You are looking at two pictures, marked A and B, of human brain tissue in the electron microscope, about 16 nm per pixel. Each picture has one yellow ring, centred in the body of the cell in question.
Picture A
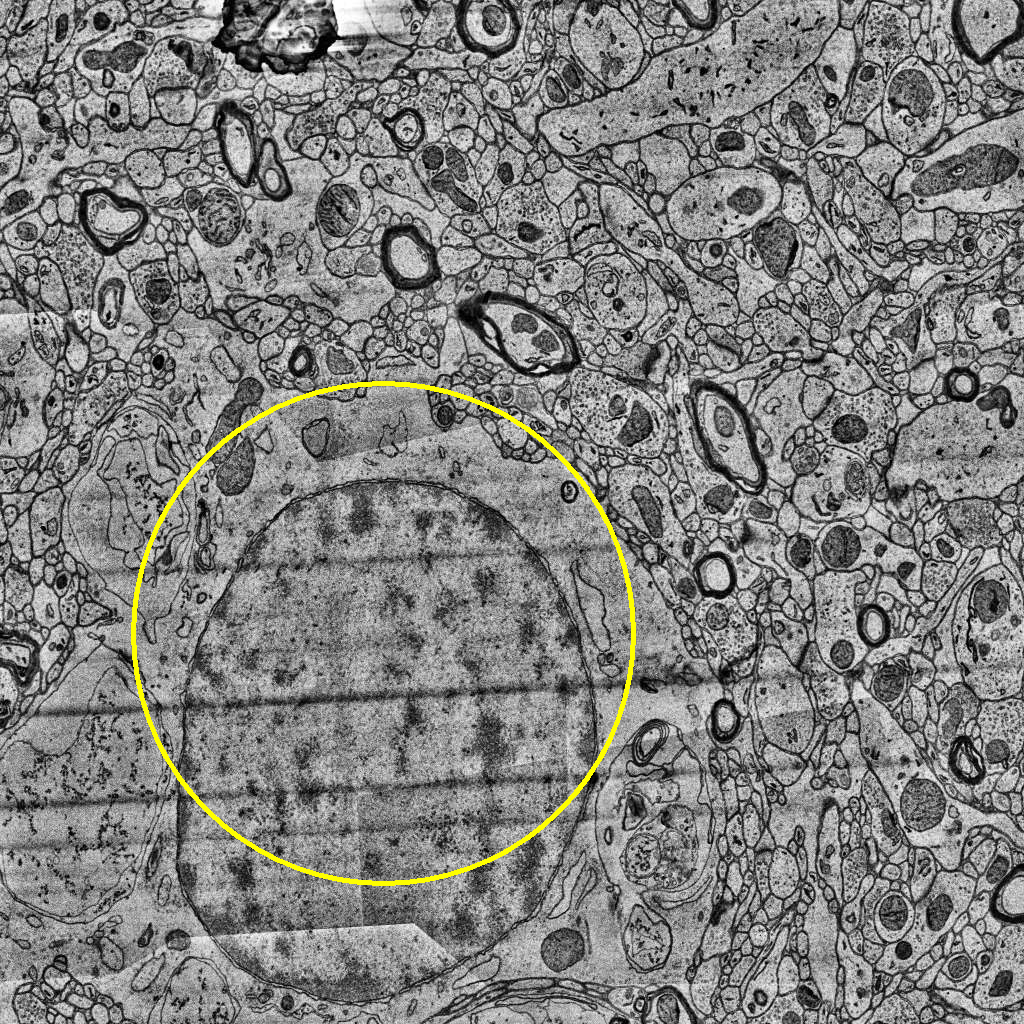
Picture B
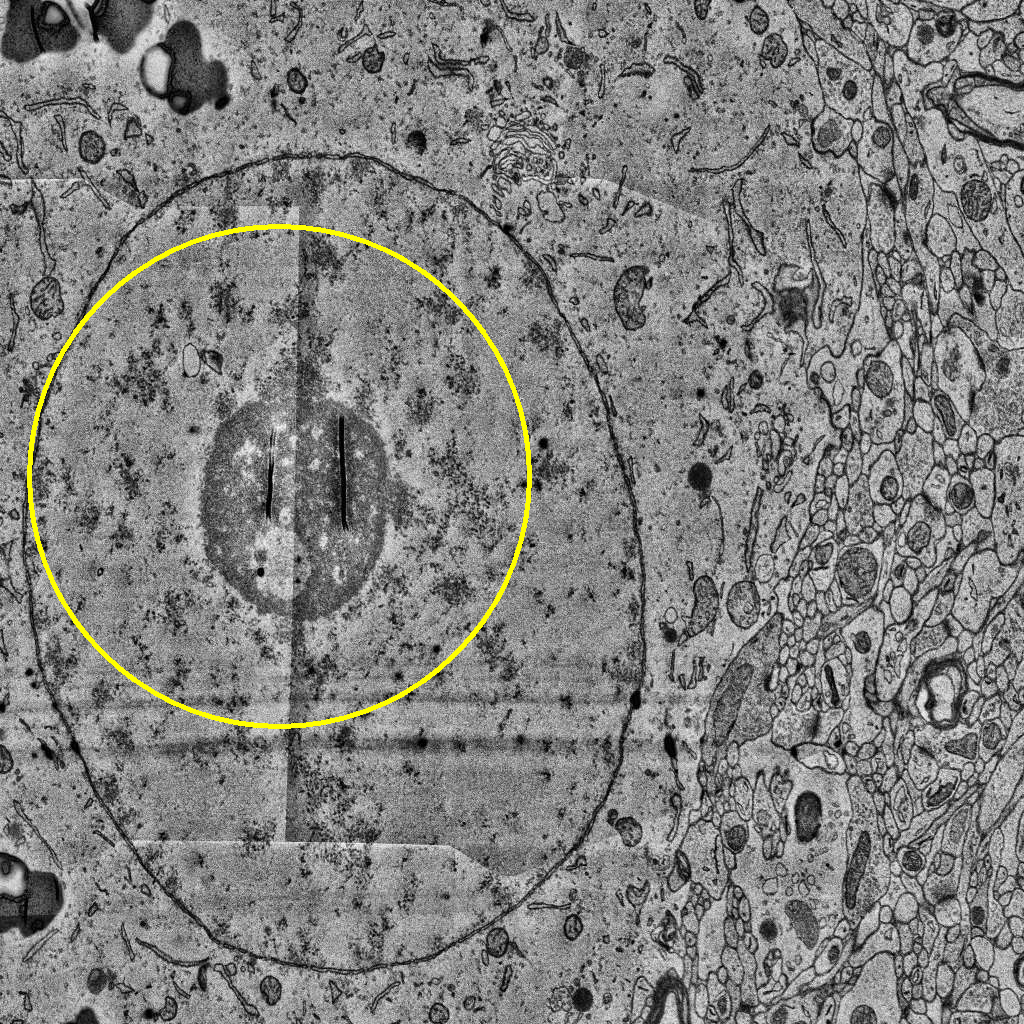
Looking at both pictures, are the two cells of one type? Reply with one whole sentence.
No, the types are not the same, since picture A shows an astrocyte and picture B a pyramidal neuron.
